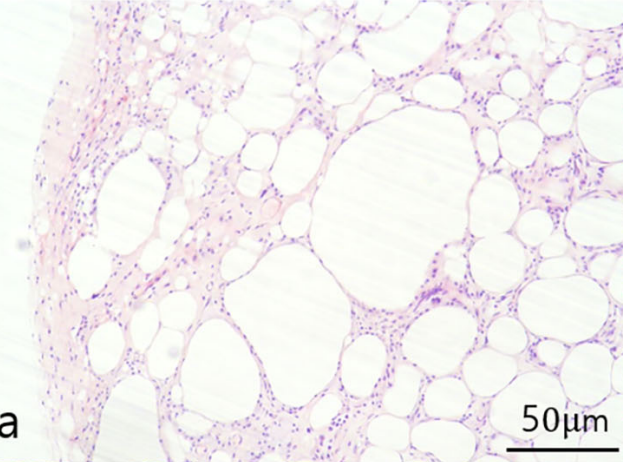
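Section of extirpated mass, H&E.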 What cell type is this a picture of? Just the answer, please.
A: Adipocytes.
